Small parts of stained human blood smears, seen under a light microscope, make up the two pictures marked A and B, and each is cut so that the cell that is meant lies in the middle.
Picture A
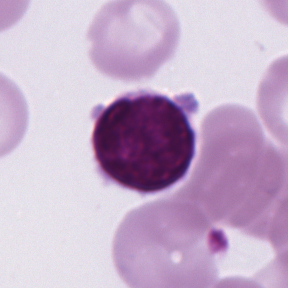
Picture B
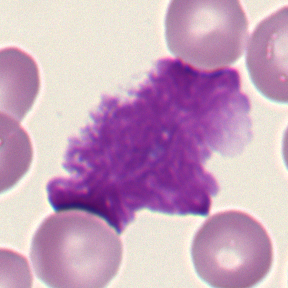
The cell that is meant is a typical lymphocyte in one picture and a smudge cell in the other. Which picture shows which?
A: typical lymphocyte
B: smudge cell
